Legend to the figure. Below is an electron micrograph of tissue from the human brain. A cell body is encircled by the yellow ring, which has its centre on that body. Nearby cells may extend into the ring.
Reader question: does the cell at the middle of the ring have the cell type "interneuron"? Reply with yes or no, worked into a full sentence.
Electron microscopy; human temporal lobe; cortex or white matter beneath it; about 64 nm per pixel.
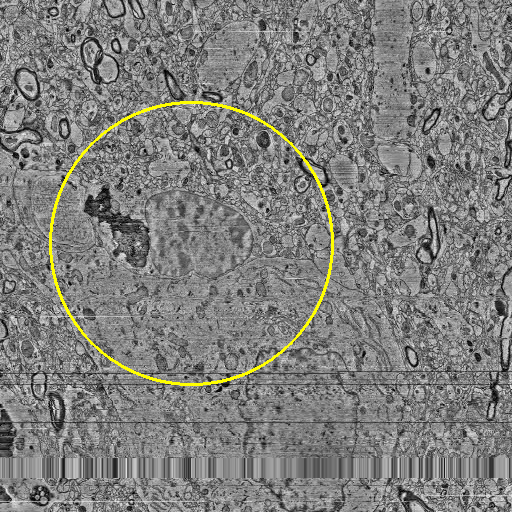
No, the cell sitting at the middle of the ring in the picture has another cell type.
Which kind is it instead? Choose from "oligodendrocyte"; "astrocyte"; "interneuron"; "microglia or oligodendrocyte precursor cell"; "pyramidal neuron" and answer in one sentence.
The cell shown in the ring is an oligodendrocyte.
